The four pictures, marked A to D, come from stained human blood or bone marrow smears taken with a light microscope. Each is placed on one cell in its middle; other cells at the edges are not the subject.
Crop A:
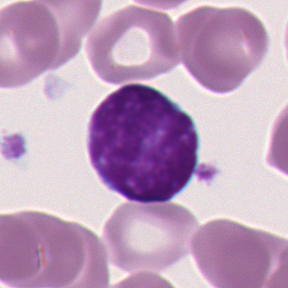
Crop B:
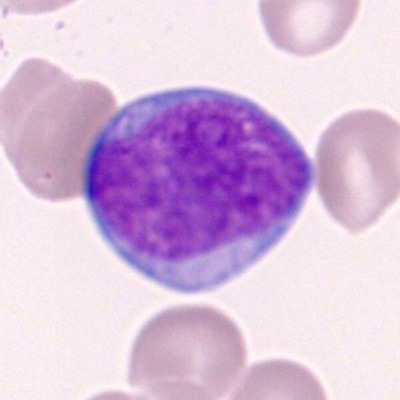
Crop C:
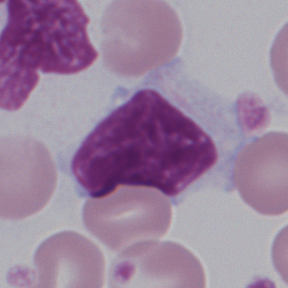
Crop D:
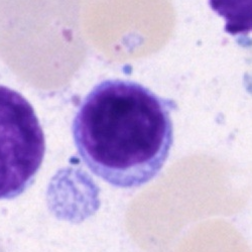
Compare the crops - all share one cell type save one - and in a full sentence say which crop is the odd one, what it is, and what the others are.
Crop B breaks the pattern with a blast; all the others show lymphocytes.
